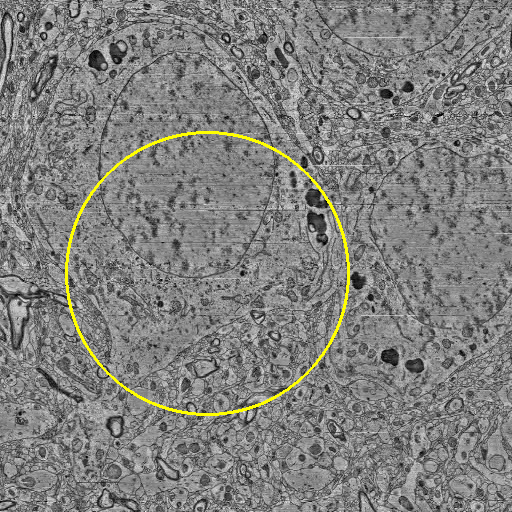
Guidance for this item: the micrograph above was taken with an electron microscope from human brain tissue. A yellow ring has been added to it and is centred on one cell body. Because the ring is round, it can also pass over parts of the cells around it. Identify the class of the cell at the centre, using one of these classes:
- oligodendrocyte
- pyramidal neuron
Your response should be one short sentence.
The ring surrounds the body of a pyramidal neuron.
